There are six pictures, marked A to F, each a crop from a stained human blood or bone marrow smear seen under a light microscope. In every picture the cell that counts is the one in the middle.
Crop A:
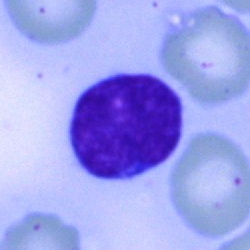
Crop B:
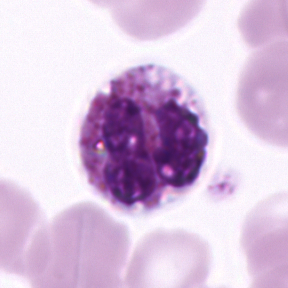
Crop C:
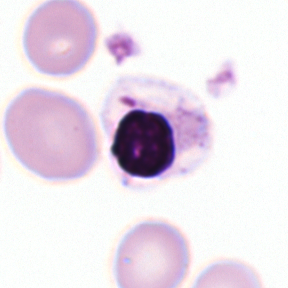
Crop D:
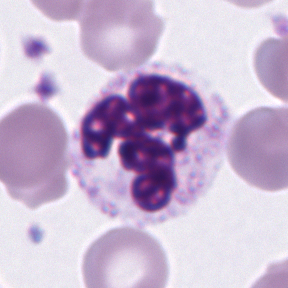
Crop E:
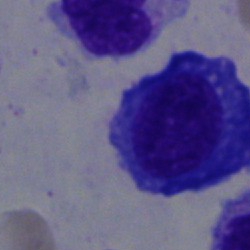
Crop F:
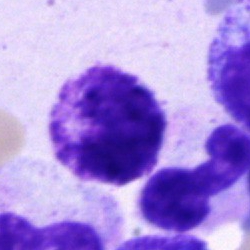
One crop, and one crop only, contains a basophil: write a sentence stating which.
The crop marked F is the one that shows a basophil.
